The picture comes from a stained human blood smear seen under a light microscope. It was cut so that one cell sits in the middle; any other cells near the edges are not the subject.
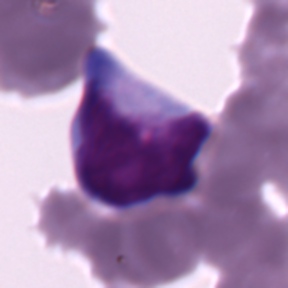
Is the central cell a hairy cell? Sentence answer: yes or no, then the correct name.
No, the cell in the middle is correctly named a myeloblast, not a hairy cell.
